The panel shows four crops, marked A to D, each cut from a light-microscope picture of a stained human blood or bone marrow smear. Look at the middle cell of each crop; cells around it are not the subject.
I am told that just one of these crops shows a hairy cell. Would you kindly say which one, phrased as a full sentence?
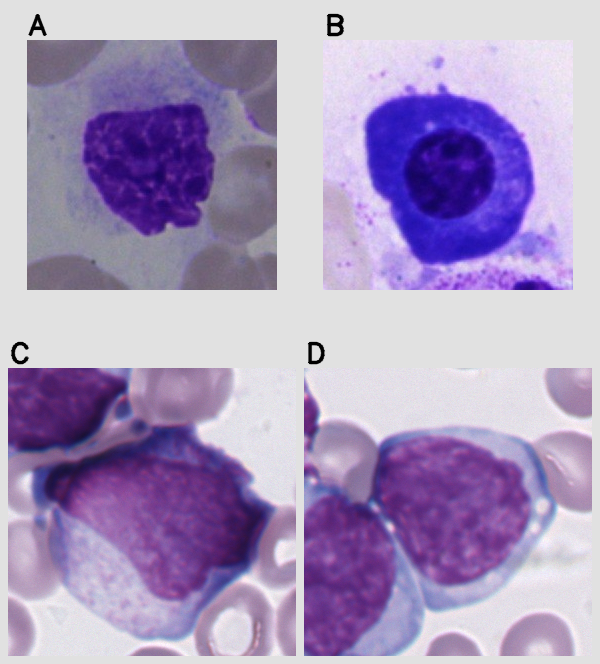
In this set, crop A is the one showing a hairy cell.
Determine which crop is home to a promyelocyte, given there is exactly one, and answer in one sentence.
The requested cell, a promyelocyte, is the one in crop C.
